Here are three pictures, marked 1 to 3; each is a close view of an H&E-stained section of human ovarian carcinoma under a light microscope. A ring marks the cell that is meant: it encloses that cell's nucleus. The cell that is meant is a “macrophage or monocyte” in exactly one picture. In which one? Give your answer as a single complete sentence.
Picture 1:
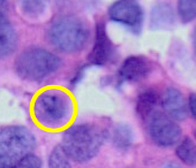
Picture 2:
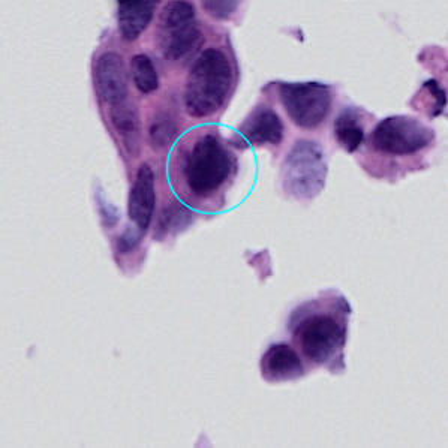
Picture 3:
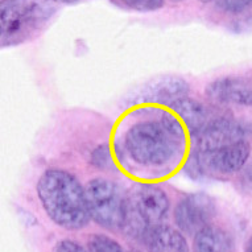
The cell in picture 1 is the “macrophage or monocyte”.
